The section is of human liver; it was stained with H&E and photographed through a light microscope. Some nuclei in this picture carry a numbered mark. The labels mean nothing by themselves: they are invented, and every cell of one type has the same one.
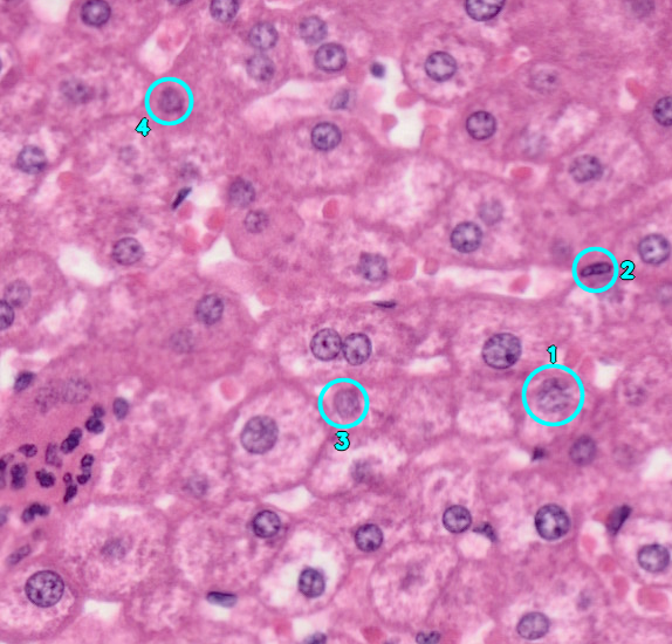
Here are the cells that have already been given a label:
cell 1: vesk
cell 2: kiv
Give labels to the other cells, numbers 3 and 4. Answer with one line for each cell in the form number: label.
3: vesk
4: vesk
